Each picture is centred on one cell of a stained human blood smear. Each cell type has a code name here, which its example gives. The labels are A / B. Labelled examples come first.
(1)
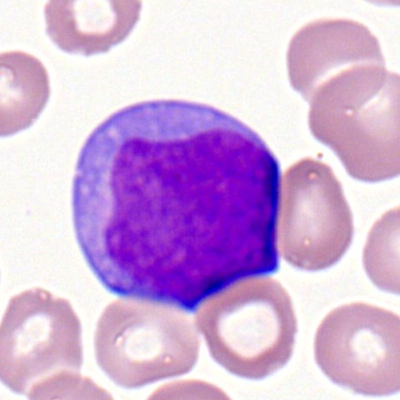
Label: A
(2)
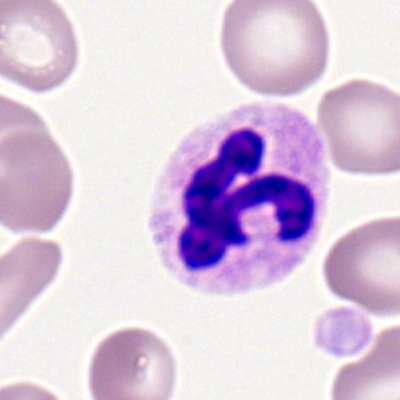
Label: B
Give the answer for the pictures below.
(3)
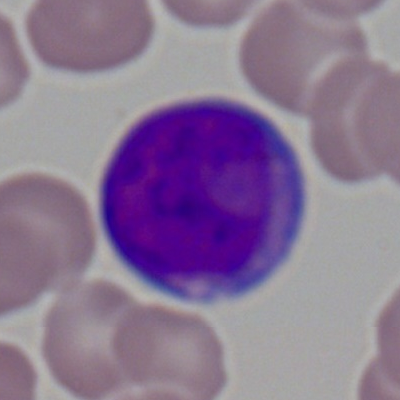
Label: A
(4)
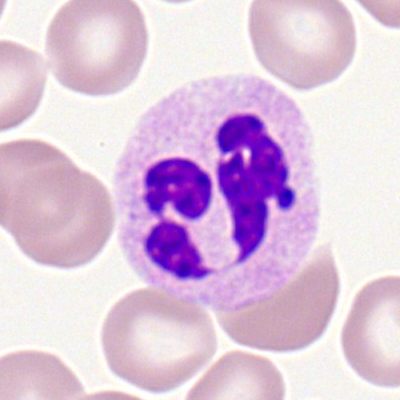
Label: B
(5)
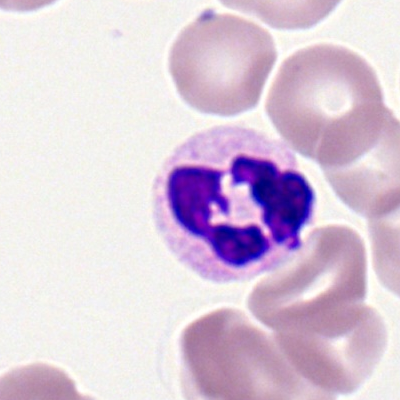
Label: B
